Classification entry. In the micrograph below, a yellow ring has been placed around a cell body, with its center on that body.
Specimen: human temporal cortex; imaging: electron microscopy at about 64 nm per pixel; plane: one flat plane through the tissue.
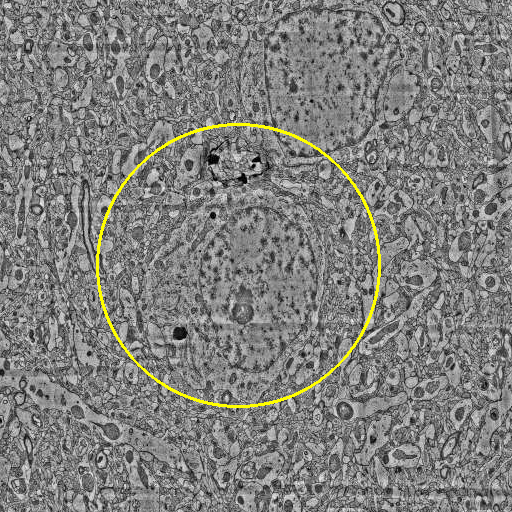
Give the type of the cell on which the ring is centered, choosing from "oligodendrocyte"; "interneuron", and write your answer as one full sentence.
The cell body at the center of the yellow ring belongs to an interneuron.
